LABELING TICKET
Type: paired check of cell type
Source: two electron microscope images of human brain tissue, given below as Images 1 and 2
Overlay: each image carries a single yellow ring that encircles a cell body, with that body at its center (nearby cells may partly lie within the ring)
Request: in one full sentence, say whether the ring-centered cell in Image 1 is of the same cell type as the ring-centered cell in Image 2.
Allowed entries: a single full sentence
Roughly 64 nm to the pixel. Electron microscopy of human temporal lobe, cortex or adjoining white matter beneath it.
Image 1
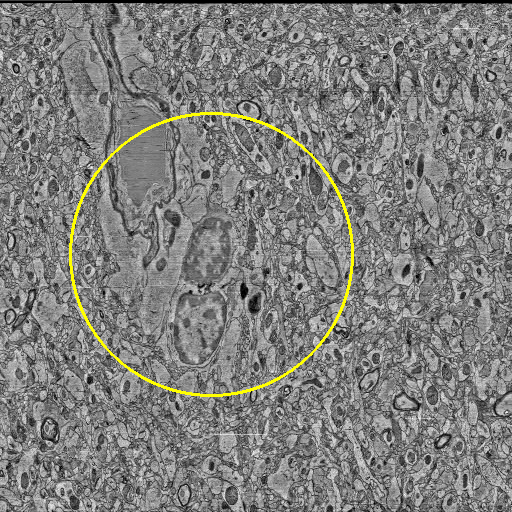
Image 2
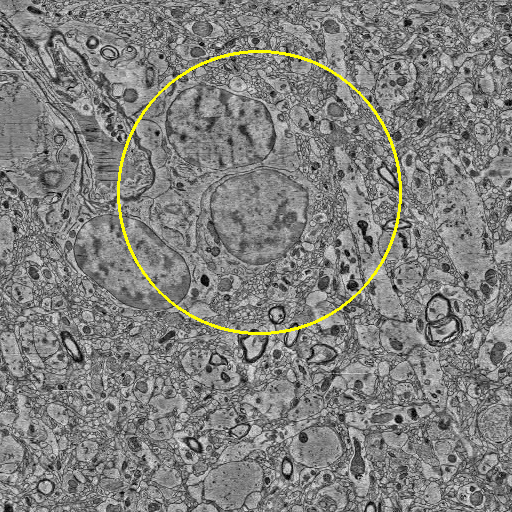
Yes, the cells centered in the rings of Image 1 and Image 2 share one type.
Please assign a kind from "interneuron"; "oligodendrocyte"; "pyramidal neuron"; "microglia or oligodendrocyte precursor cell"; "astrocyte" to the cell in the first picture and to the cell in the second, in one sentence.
In both pictures the ring is centred on an oligodendrocyte.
